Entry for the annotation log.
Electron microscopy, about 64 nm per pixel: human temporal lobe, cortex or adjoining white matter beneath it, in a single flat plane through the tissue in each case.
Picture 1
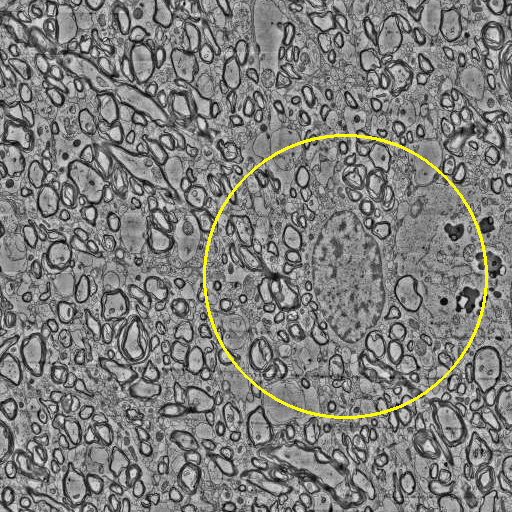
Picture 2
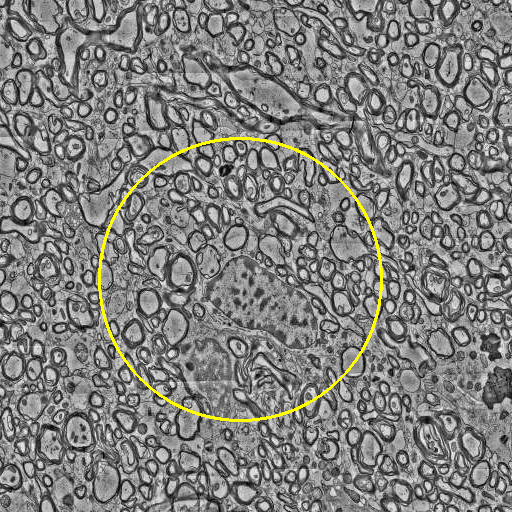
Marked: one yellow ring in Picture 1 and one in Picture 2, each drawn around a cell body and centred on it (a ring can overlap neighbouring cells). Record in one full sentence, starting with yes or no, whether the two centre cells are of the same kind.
No, the two cells are of two kinds.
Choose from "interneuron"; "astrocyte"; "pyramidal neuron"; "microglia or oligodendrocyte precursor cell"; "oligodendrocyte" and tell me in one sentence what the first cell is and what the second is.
What the first ring is centred on is an oligodendrocyte; what the second ring is centred on is a microglial cell or oligodendrocyte precursor cell.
